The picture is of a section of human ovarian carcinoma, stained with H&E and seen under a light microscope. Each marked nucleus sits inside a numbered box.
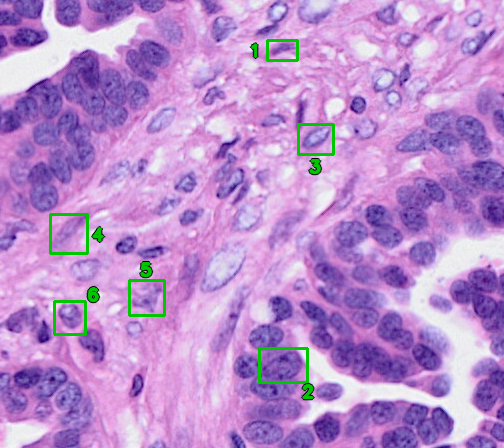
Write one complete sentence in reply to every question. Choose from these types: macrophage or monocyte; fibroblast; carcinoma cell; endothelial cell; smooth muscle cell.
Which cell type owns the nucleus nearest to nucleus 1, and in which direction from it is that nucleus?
Lying above and to the left of nucleus 1, the nearest nucleus is that of a fibroblast.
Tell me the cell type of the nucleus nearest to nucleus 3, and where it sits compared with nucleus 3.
The nearest one is a fibroblast, found above and to the left of nucleus 3.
